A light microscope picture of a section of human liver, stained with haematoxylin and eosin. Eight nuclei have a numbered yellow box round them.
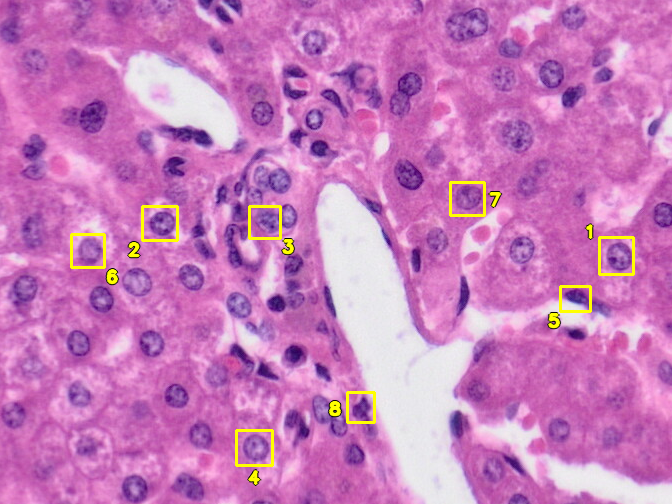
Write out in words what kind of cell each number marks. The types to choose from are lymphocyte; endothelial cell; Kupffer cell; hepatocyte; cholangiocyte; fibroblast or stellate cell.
Cells 1, 2, 4, 6 and 7 are hepatocytes. Cell 3 is a cholangiocyte. Cells 5 and 8 are fibroblasts or stellate cells.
